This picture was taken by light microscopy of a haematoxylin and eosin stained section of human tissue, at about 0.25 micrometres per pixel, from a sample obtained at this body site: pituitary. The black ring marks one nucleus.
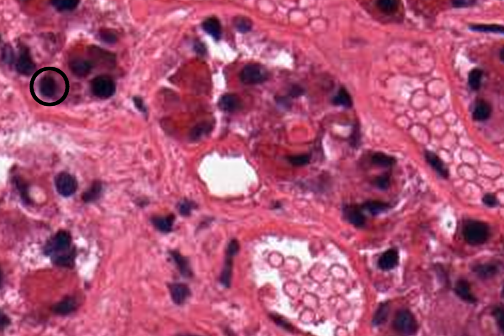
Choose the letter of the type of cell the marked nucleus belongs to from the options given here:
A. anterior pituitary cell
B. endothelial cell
A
